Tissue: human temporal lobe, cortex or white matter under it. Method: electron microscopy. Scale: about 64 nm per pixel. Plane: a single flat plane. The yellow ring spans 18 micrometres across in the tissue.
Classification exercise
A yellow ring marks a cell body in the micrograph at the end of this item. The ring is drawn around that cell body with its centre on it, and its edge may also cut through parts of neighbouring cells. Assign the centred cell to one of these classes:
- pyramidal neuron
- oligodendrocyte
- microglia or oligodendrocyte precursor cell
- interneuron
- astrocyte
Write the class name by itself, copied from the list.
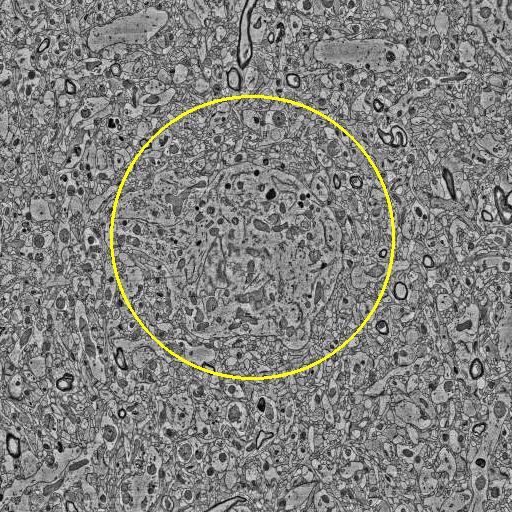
interneuron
